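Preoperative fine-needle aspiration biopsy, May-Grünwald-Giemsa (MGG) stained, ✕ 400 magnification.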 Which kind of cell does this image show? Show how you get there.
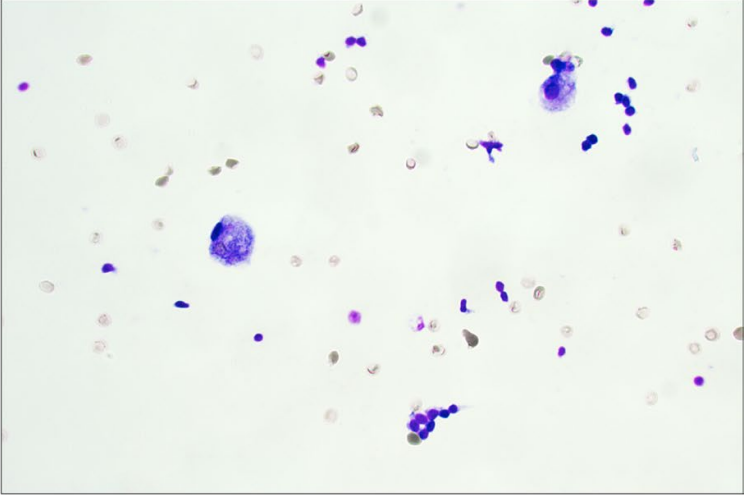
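Macrophages. Two large cells with abundant pale, finely vacuolated cytoplasm stand apart from the rest. Their nuclei are small and eccentric relative to the wide cytoplasm. Many small pale round anucleate cells lie scattered in the background.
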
